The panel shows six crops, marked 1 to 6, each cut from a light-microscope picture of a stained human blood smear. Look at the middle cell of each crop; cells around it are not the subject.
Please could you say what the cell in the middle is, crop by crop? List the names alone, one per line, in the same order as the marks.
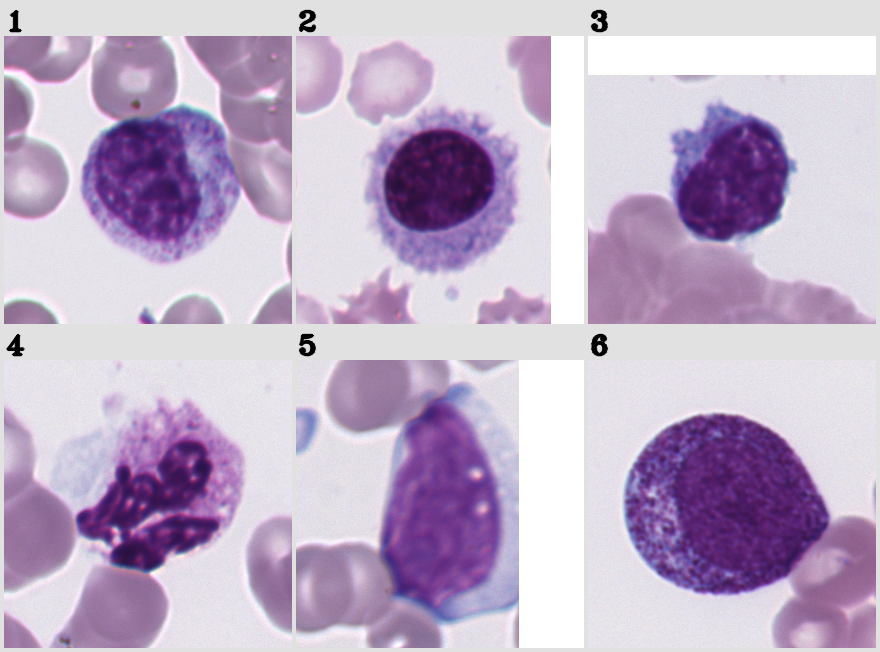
metamyelocyte
hairy cell
typical lymphocyte
segmented neutrophil
myeloblast
promyelocyte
